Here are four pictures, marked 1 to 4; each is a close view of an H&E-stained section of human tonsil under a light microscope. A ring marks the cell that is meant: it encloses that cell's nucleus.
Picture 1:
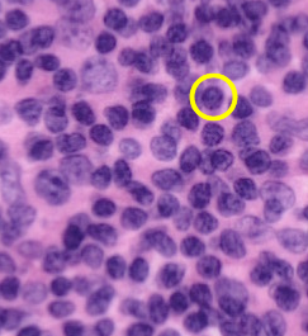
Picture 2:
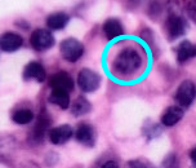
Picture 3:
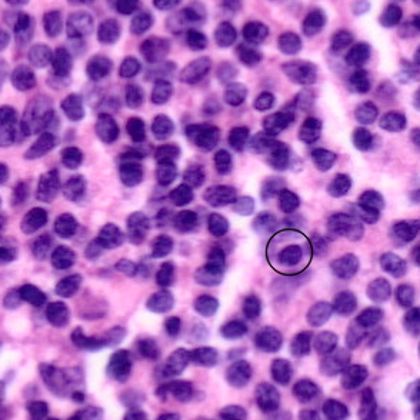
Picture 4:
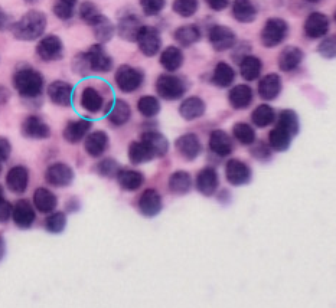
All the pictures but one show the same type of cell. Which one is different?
2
